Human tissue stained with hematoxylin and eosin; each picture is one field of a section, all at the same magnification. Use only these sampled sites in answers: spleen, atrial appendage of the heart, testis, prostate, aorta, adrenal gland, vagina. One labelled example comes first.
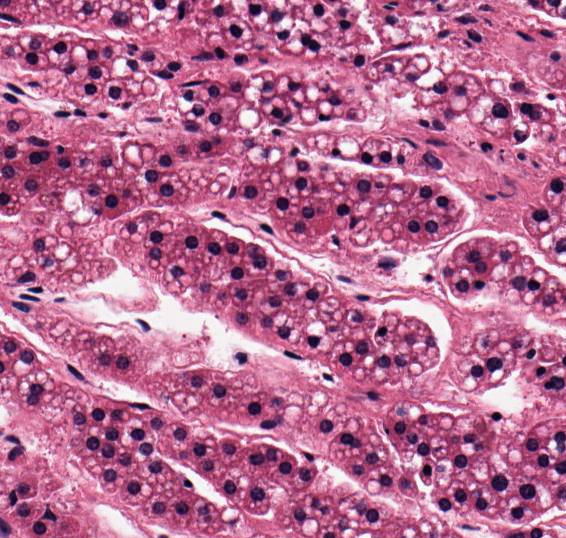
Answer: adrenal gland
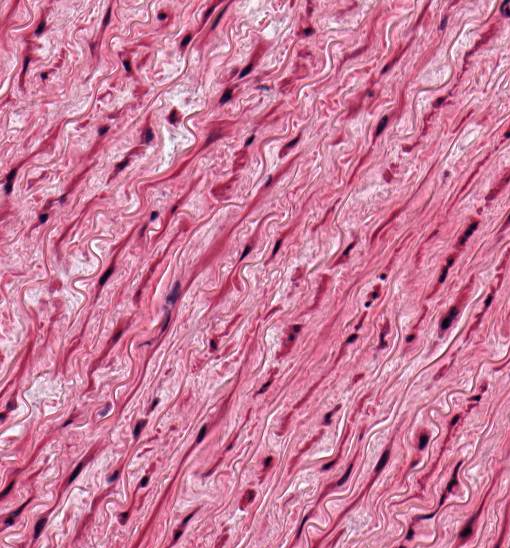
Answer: aorta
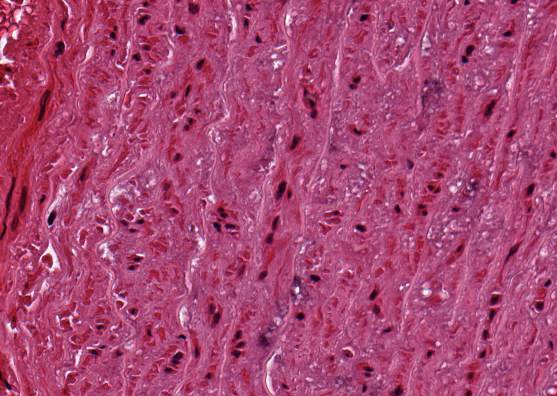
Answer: aorta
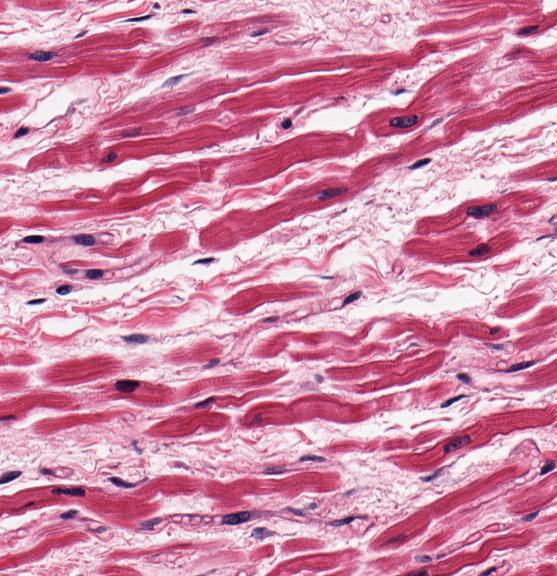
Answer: atrial appendage of the heart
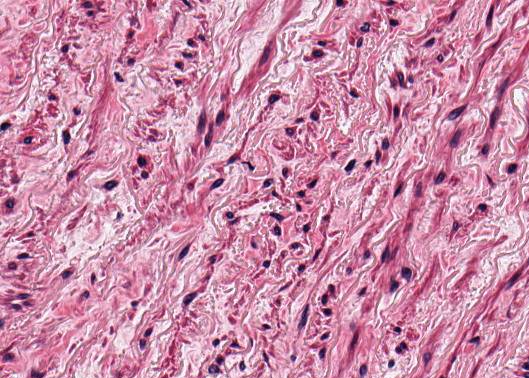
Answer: aorta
